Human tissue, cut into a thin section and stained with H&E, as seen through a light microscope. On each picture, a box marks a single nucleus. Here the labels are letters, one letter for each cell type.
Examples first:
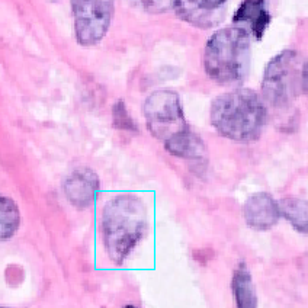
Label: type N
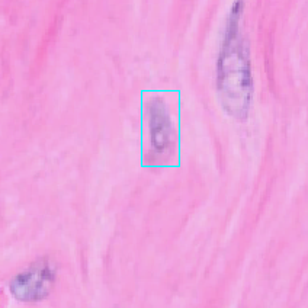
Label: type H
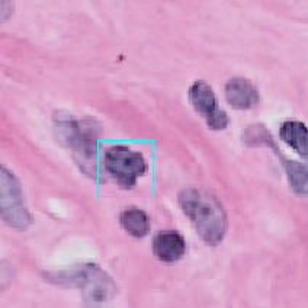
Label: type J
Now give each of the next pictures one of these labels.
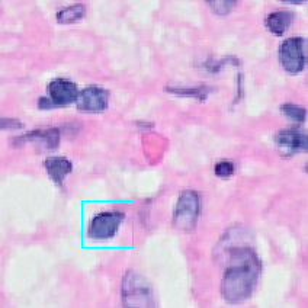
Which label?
type J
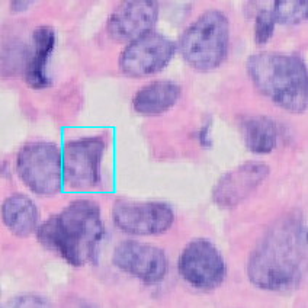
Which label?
type N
